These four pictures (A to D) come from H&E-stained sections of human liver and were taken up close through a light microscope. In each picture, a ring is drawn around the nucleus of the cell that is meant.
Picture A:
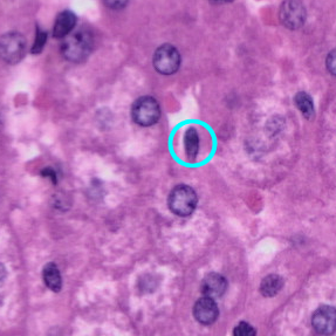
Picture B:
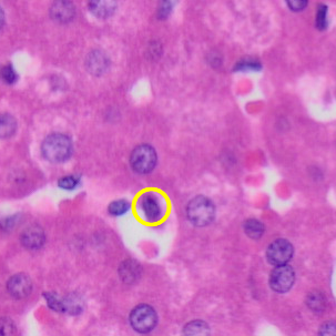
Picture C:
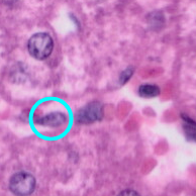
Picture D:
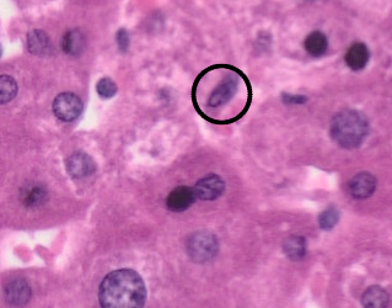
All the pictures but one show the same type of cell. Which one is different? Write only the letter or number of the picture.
A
